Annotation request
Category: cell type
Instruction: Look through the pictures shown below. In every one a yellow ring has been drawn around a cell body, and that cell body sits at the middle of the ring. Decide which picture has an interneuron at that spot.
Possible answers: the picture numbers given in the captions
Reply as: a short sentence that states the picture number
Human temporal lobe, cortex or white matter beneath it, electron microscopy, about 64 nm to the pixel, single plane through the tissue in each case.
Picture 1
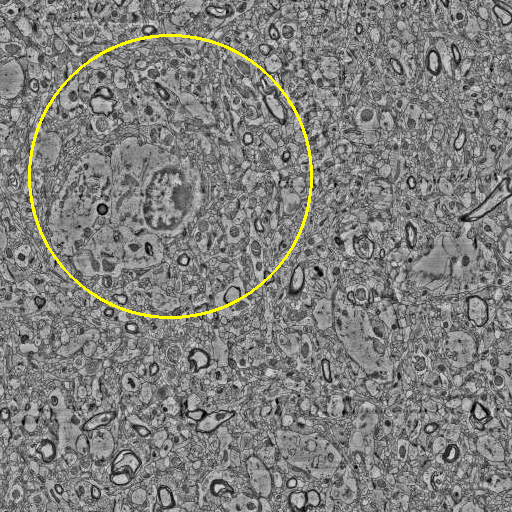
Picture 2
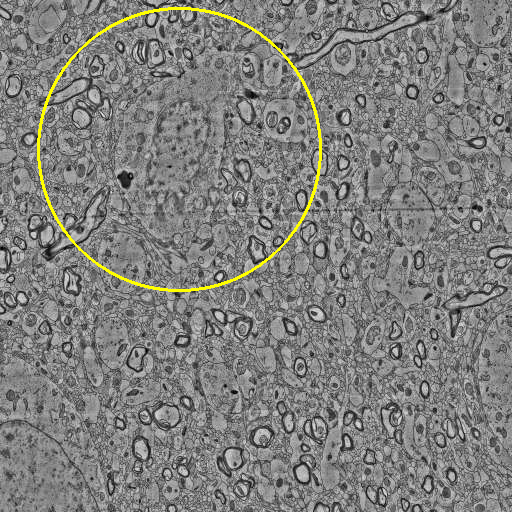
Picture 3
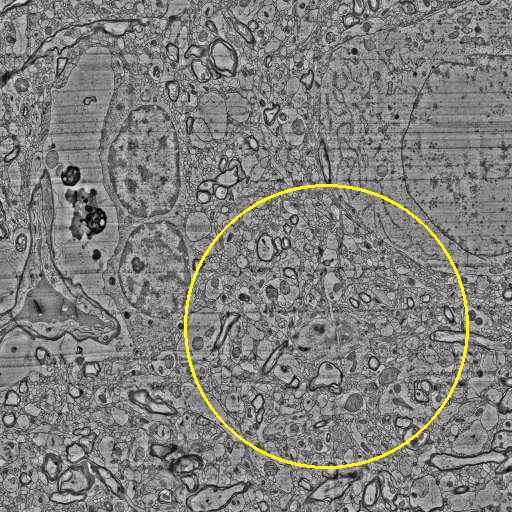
It is in Picture 2.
